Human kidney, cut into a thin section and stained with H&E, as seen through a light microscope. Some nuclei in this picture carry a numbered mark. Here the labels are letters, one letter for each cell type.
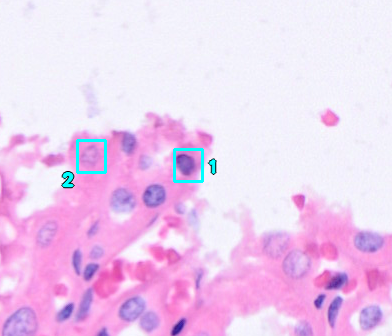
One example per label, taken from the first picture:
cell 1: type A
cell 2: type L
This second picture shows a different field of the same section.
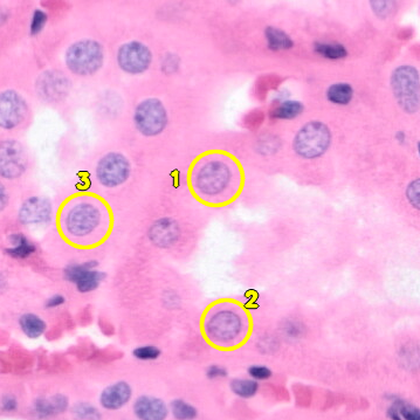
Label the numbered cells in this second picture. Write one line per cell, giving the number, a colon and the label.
1: type L
2: type L
3: type A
